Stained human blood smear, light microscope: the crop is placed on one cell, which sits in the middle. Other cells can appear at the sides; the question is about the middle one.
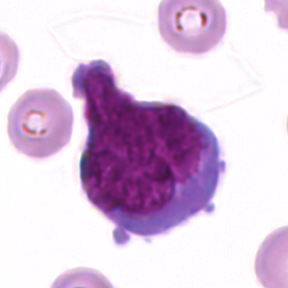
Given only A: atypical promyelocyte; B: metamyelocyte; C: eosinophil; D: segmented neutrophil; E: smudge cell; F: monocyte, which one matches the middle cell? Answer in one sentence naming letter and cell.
At the centre of the crop lies an atypical promyelocyte, which makes option A correct.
